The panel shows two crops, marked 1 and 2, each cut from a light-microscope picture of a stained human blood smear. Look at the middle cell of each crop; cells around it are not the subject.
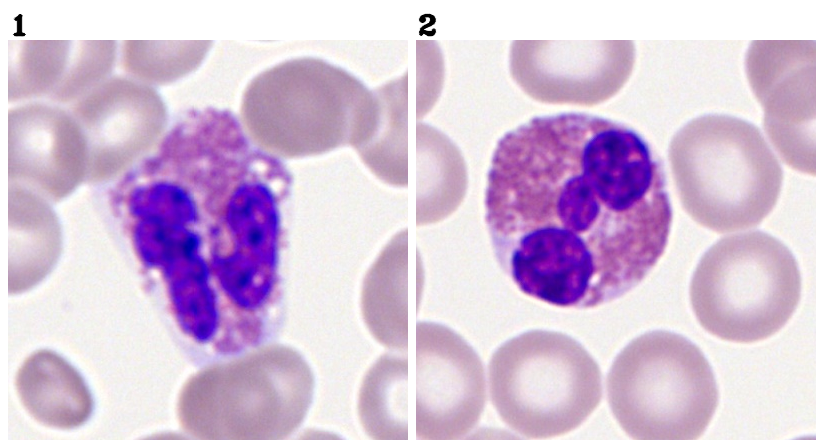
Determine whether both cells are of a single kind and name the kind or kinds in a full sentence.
Yes, the cells at the centre of the two crops are both eosinophils.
